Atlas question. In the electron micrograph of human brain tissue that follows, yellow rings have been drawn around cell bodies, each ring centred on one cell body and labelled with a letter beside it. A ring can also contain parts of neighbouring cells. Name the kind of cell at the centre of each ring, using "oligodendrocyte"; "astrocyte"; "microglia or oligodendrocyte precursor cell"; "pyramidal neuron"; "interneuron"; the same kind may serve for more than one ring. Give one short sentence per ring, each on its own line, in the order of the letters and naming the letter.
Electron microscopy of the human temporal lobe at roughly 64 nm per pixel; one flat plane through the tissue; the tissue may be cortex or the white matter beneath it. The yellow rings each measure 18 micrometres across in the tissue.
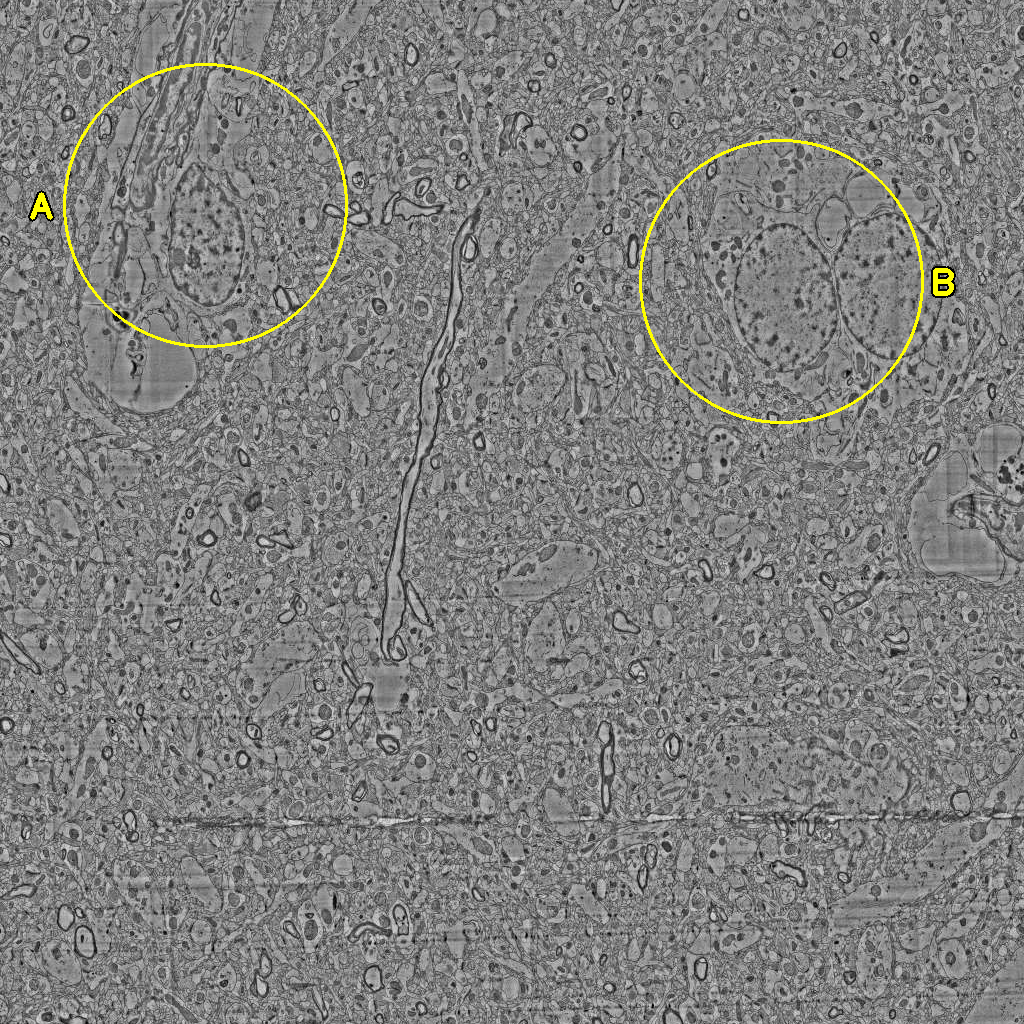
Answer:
For ring A, the cell at the centre is a microglial cell or oligodendrocyte precursor cell.
For ring B, the cell at the centre is an astrocyte.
